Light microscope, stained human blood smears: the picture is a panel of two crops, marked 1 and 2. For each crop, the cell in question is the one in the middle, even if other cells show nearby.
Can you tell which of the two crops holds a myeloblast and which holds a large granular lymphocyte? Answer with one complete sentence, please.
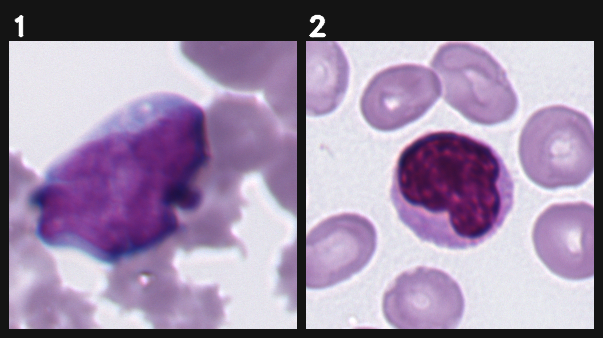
As for the pair, crop 1 is a myeloblast and crop 2 is a large granular lymphocyte.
